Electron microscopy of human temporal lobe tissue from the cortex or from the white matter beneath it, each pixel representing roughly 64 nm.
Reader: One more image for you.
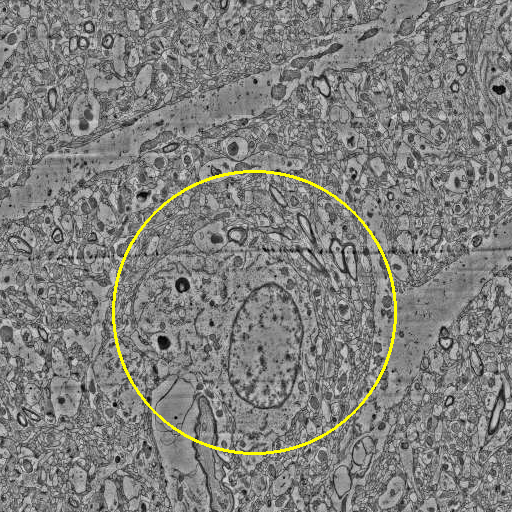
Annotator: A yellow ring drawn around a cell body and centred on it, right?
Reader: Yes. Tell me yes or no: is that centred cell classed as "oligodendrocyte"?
no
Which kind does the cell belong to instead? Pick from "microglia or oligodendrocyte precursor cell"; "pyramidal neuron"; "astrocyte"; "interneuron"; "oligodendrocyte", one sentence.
At the centre of the ring sits a pyramidal neuron.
